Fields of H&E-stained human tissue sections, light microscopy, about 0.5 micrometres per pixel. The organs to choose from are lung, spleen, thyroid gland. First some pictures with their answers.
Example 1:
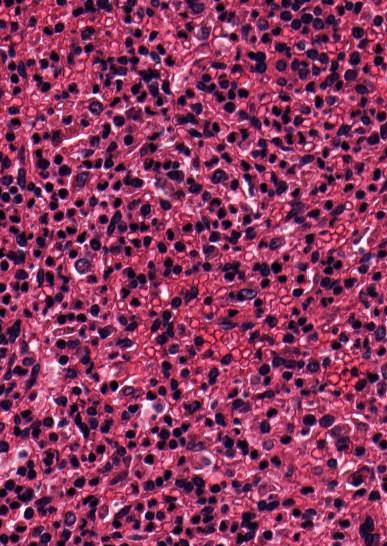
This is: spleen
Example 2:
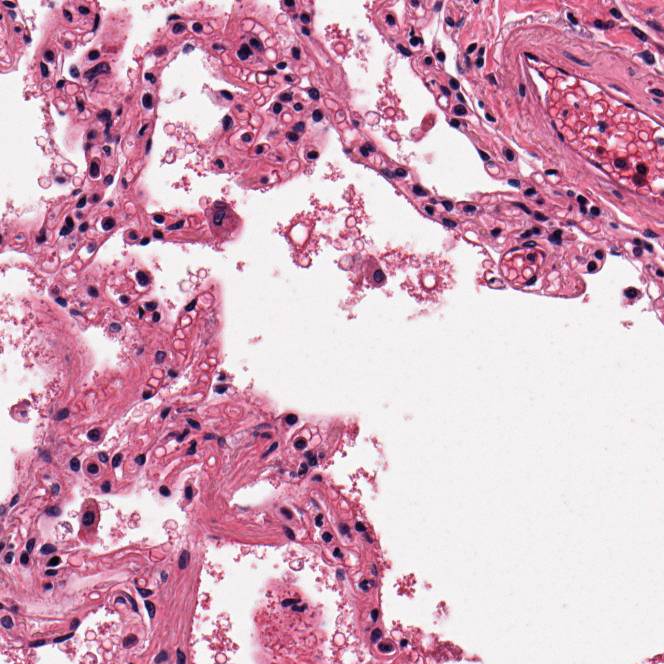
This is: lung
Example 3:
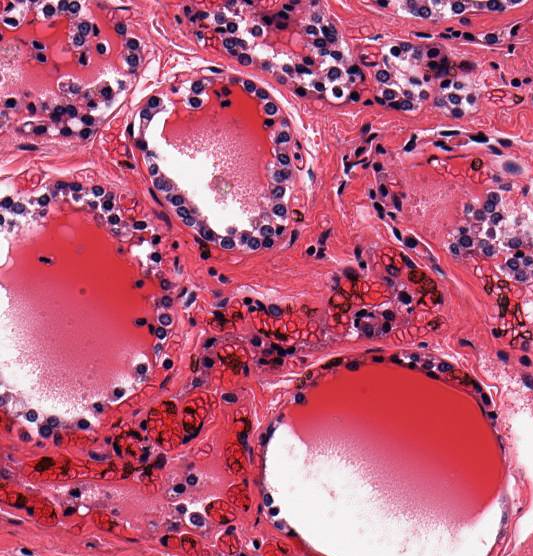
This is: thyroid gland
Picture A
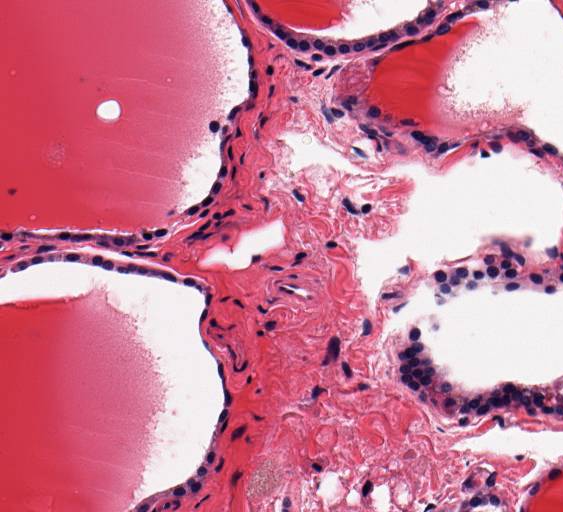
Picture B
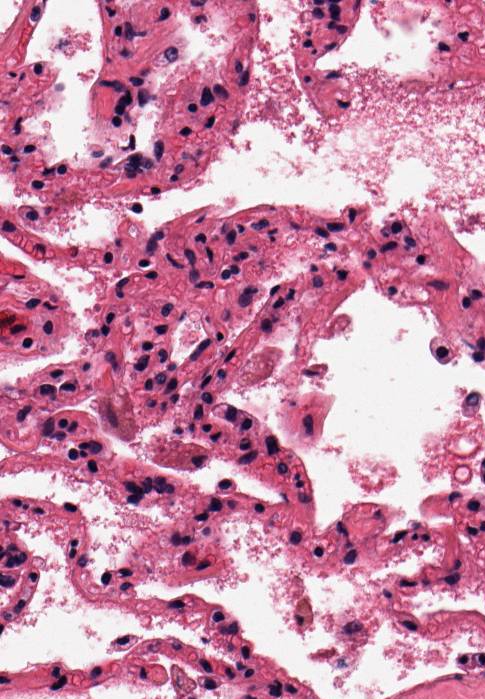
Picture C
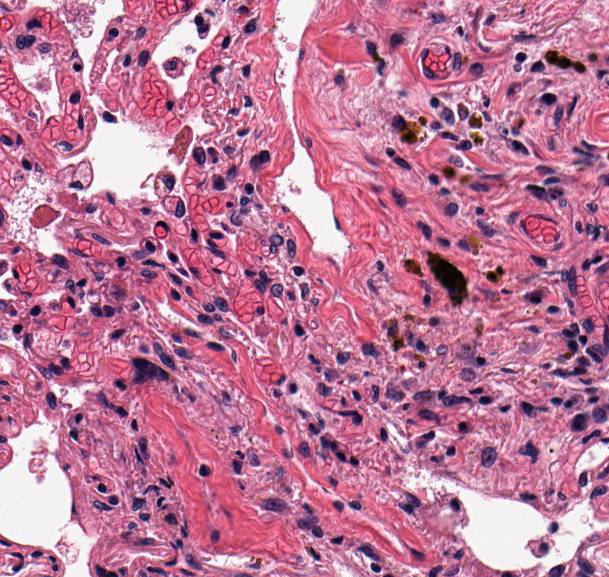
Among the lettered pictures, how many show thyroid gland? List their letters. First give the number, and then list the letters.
1, namely A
